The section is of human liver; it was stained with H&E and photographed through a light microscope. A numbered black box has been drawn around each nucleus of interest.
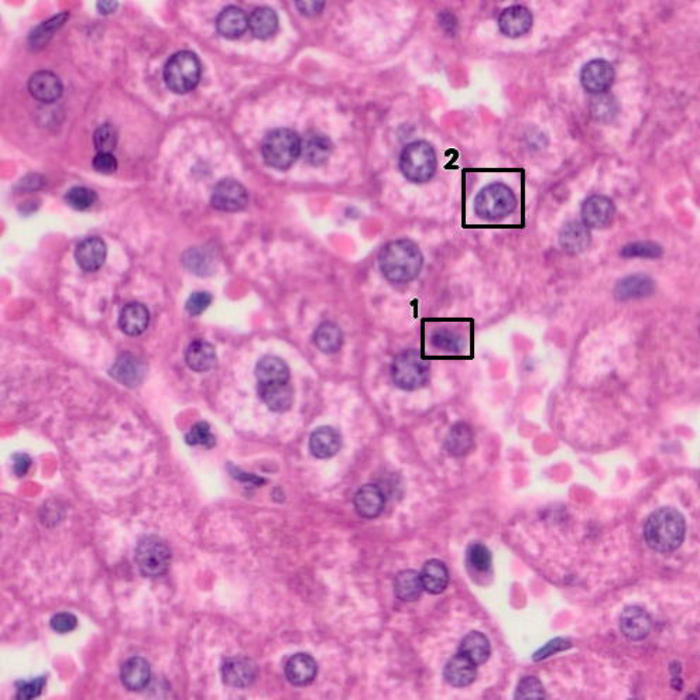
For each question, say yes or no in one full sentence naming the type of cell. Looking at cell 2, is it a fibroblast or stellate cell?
No, the cell referred to as 2 is a hepatocyte, not a fibroblast or stellate cell.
